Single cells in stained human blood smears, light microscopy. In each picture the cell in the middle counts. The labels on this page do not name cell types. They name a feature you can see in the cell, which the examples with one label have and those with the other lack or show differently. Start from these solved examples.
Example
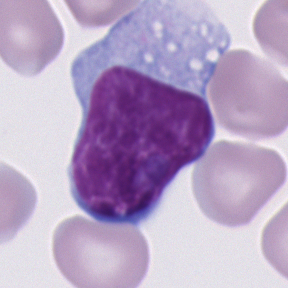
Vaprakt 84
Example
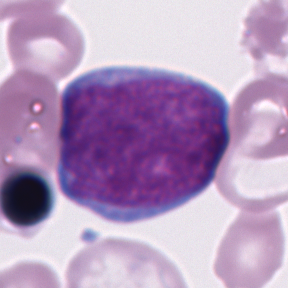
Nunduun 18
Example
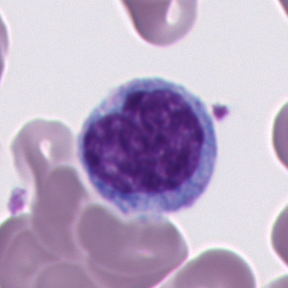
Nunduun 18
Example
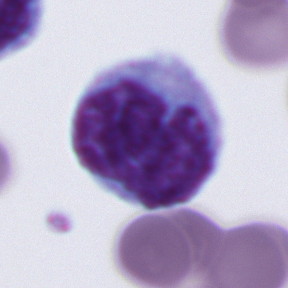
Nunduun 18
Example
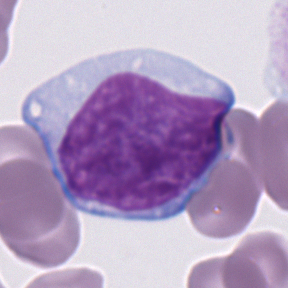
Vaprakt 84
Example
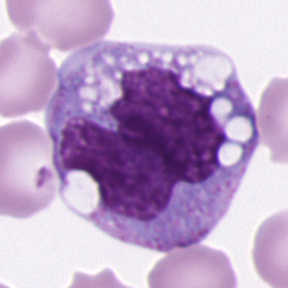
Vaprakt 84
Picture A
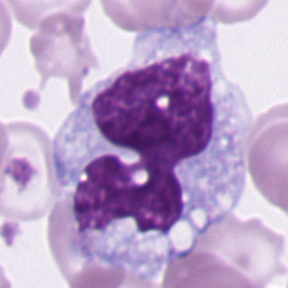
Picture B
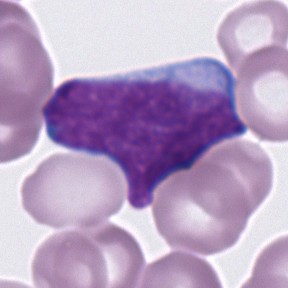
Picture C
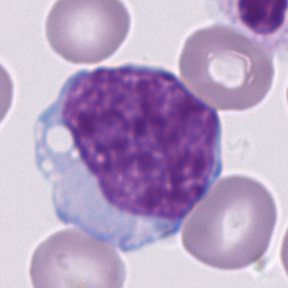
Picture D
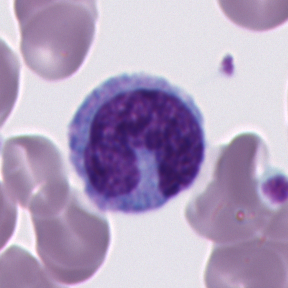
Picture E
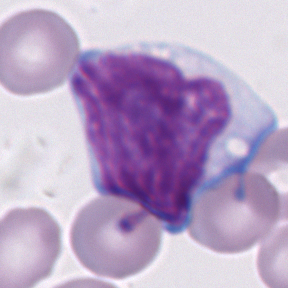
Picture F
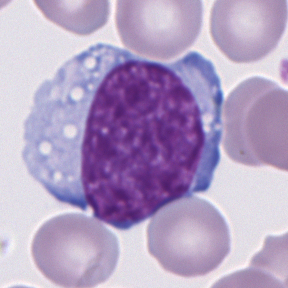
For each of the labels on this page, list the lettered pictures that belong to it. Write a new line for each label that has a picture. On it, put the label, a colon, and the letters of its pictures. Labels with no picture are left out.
Vaprakt 84: A, C, E, F
Nunduun 18: B, D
